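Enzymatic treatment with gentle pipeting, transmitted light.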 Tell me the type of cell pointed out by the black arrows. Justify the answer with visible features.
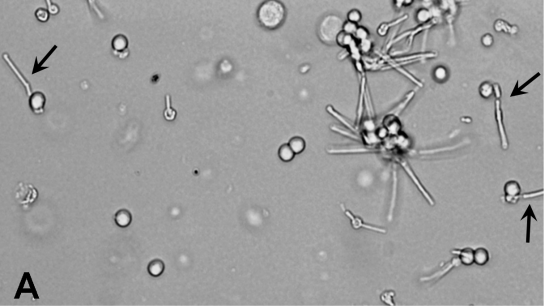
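Each arrowed cell has a round refractile cell body. A long straight rod-like process is attached to each arrowed cell body.
Hence: intact photoreceptors.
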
